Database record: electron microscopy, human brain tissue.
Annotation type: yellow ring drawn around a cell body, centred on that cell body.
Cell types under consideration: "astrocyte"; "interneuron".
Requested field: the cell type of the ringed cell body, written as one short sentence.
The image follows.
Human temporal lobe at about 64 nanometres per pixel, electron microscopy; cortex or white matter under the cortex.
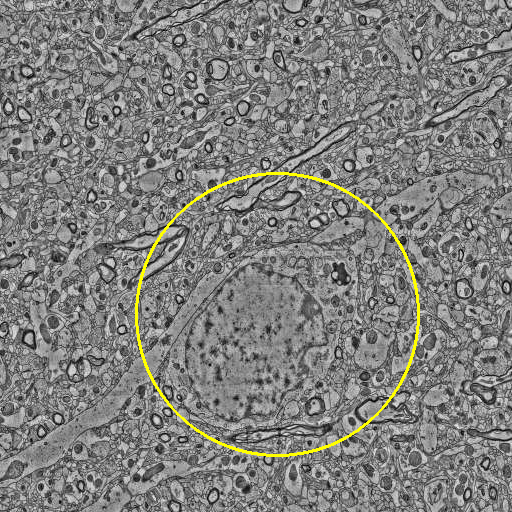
The ringed cell body represents an interneuron.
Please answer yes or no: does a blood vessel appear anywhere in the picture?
No, no blood vessel can be seen.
